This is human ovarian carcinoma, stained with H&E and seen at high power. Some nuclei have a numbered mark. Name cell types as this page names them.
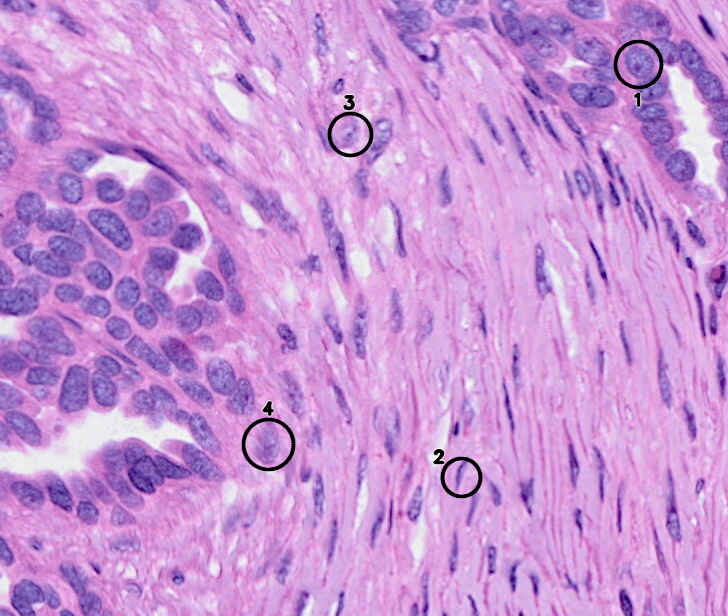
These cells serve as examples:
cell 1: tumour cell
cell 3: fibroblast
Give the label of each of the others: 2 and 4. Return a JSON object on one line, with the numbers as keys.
{"2": "fibroblast", "4": "fibroblast"}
